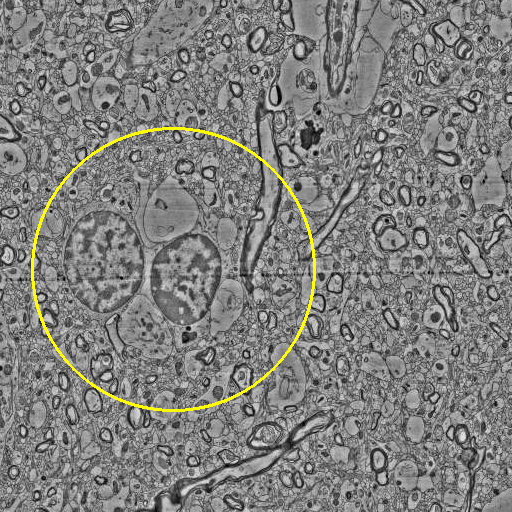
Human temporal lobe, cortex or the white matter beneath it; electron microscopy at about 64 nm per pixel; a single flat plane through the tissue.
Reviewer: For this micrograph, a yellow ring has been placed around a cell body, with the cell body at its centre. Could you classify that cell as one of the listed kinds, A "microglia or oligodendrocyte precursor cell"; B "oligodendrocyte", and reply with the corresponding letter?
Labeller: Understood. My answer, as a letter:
A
